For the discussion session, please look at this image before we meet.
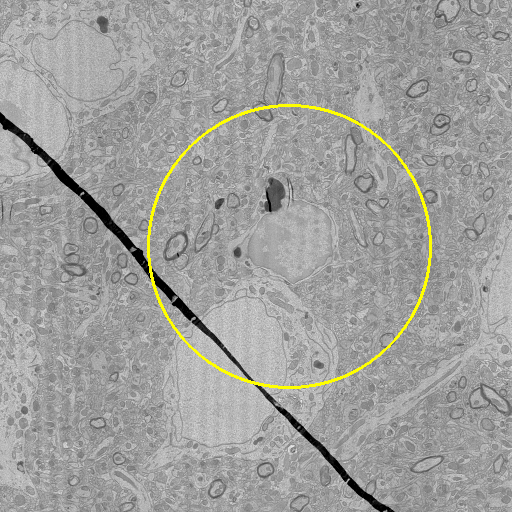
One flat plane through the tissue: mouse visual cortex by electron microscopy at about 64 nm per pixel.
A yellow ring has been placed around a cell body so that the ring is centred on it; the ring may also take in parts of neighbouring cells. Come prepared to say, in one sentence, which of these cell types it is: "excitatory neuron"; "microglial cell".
The cell centred in the ring is a microglial cell.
